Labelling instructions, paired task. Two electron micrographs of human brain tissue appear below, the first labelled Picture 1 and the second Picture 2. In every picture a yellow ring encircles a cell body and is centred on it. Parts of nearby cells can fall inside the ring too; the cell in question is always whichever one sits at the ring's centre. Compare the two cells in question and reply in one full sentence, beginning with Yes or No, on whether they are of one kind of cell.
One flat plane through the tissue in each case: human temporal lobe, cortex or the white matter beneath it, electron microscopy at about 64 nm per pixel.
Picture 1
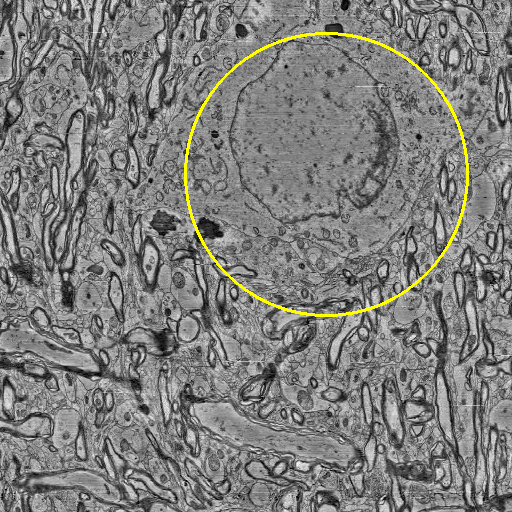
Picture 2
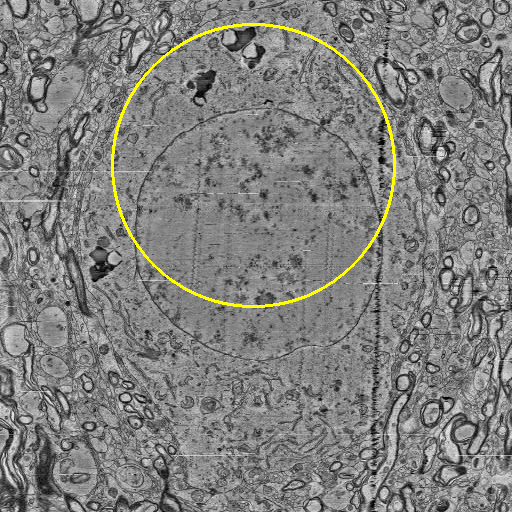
Yes, the two cells at the ring centres in Picture 1 and Picture 2 are of one kind.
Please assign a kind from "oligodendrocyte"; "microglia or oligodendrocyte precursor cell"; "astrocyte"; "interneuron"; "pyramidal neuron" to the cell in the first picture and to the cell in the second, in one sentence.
The second cell is a pyramidal neuron, just as the first is.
